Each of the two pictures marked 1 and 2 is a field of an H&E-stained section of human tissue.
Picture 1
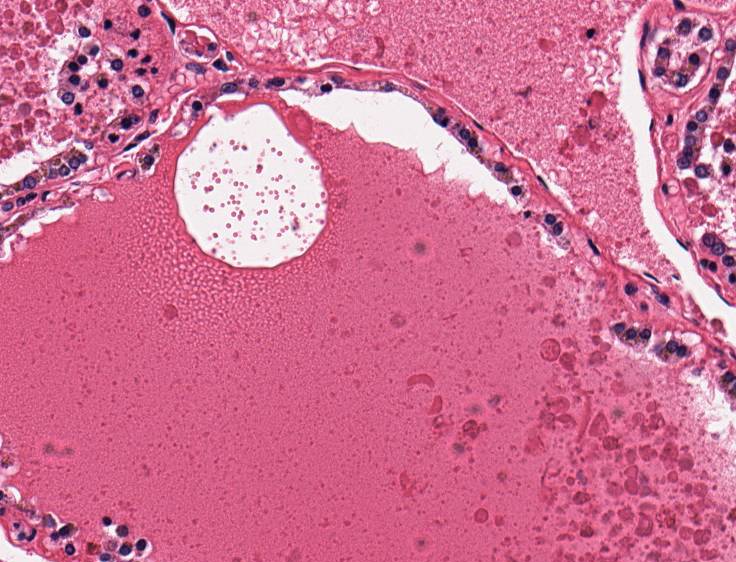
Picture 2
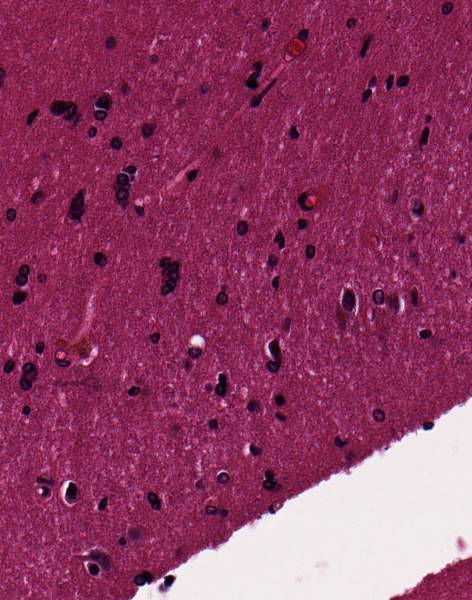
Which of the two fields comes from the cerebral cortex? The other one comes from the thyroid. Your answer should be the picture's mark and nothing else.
2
